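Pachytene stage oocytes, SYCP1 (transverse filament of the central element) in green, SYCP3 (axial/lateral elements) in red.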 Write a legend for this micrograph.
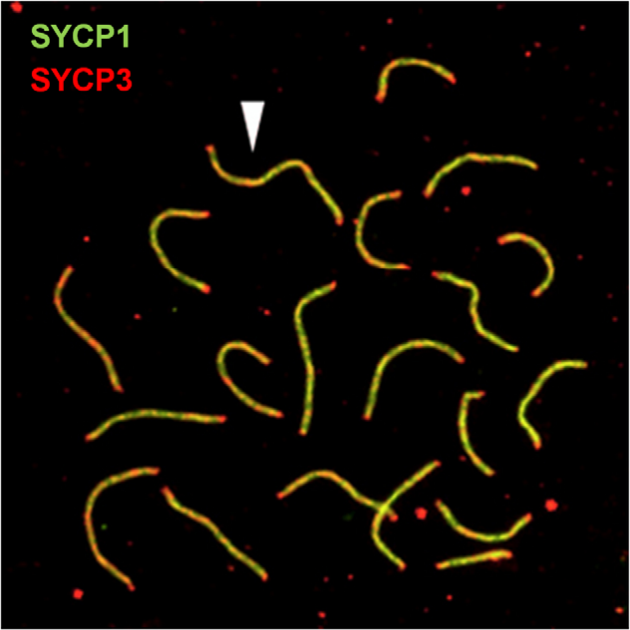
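Unlike an even yellow, the threads here look mottled, with stretches of green and red alternating along them. Most threads end in a distinct red tip. Small red dots are also scattered over the background between the threads.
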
